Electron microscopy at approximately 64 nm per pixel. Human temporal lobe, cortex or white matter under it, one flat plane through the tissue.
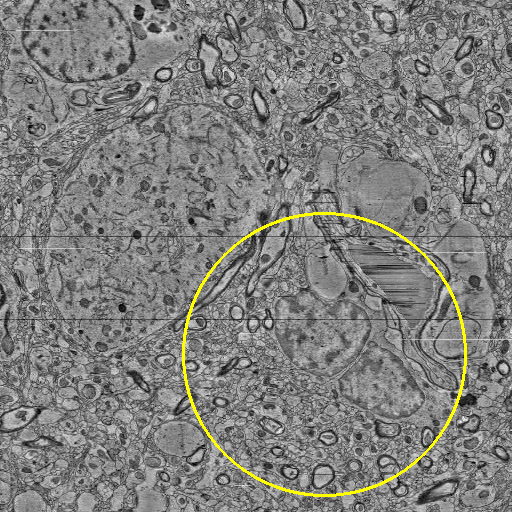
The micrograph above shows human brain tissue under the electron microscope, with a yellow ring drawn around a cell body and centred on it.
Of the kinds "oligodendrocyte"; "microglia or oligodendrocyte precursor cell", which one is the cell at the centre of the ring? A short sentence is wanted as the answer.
The one at the centre of the ring is an oligodendrocyte.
